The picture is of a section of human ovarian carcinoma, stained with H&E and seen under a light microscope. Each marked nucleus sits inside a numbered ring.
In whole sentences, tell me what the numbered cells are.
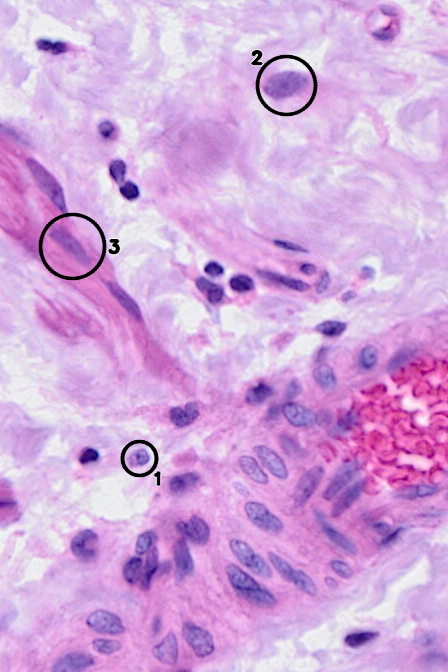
Cell 1 is a lymphocyte, cell 2 is a fibroblast and cell 3 is a smooth muscle cell.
